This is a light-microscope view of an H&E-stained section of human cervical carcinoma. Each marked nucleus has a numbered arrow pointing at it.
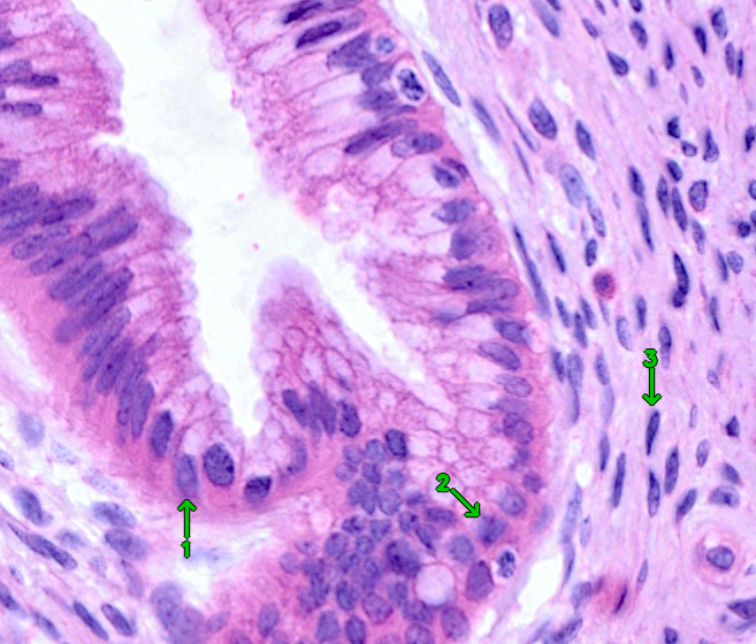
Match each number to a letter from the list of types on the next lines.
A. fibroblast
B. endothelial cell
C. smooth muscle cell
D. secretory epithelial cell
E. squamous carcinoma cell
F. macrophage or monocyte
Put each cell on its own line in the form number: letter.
1: D
2: D
3: A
